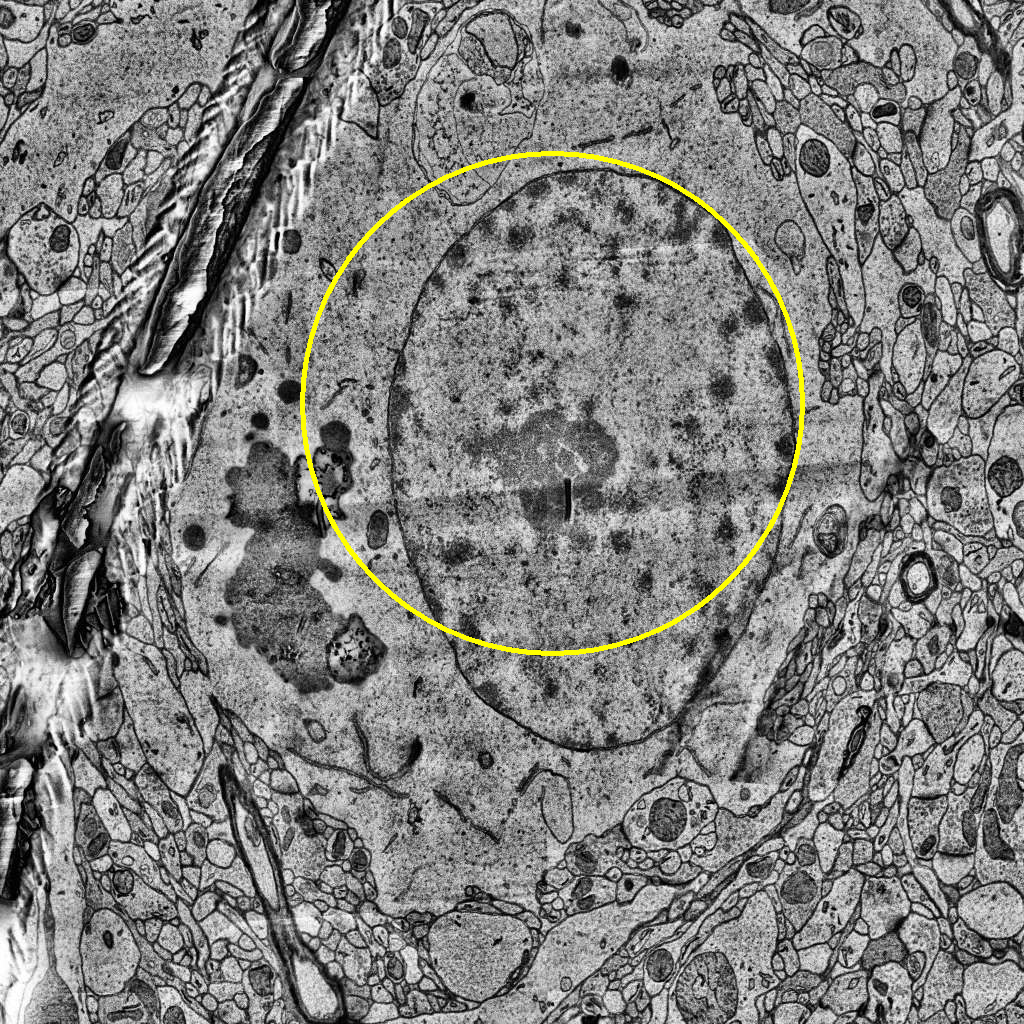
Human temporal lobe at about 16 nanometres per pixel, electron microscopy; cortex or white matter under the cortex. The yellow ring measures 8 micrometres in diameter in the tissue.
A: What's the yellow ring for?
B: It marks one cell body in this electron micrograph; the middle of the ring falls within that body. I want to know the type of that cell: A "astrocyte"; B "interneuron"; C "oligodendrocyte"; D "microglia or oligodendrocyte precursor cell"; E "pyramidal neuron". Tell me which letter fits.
A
